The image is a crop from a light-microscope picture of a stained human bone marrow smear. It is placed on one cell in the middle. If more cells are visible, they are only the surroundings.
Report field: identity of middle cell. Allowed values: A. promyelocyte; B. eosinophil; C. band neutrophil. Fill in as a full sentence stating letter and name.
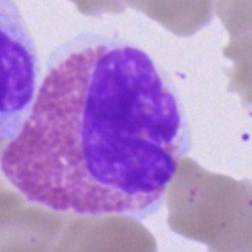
Option B is the right one, for the cell in the middle is an eosinophil.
